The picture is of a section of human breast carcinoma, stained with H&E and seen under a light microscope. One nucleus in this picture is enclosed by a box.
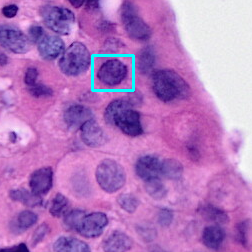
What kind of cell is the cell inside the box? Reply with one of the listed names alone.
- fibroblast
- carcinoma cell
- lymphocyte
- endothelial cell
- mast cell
carcinoma cell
